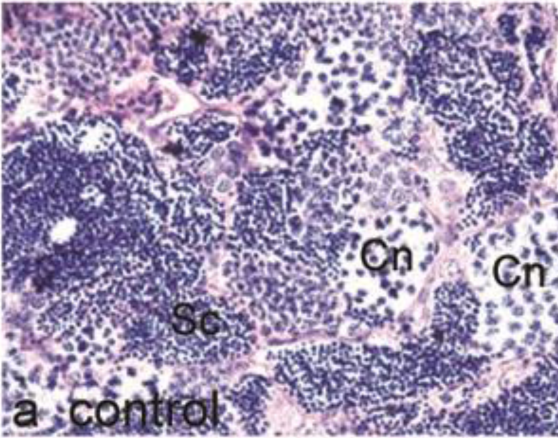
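Large areas are crowded with small, deeply purple, compact nuclei, while other clusters hold somewhat larger cells with looser, condensed chromatin. Few pale, large germ cells are seen.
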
